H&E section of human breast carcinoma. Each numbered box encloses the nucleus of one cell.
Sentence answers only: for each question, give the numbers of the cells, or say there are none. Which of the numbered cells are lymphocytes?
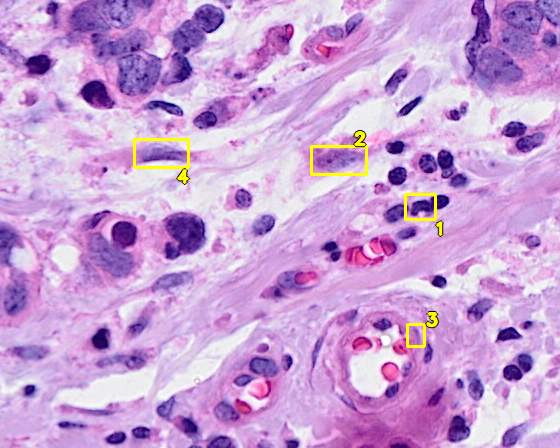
The one cell that is a lymphocyte is cell 1, and no other.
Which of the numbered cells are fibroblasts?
The cells numbered 2 and 4 are, by type, fibroblasts.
